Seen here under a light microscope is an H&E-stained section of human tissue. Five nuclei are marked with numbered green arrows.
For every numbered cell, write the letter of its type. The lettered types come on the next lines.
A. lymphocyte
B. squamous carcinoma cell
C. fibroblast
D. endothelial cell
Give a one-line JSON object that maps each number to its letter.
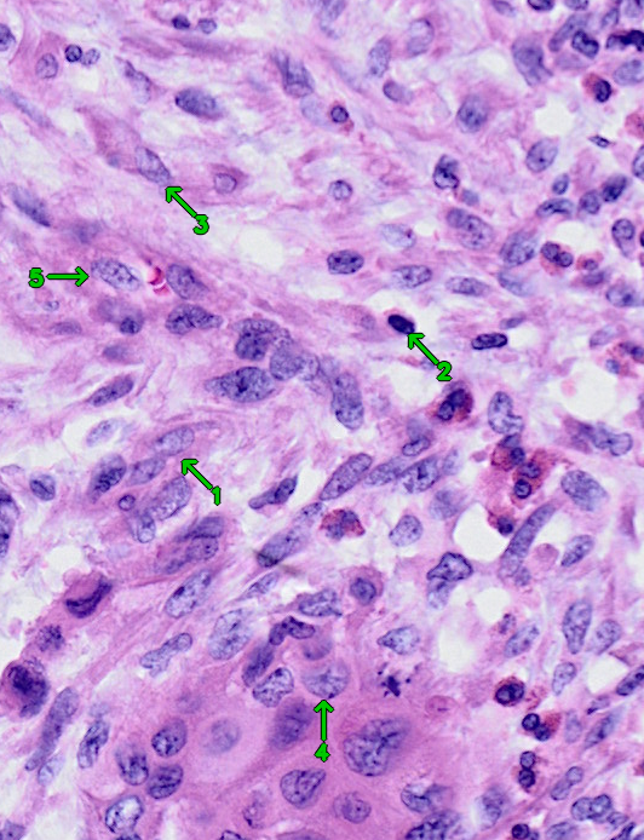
{"1": "D", "2": "A", "3": "C", "4": "B", "5": "D"}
